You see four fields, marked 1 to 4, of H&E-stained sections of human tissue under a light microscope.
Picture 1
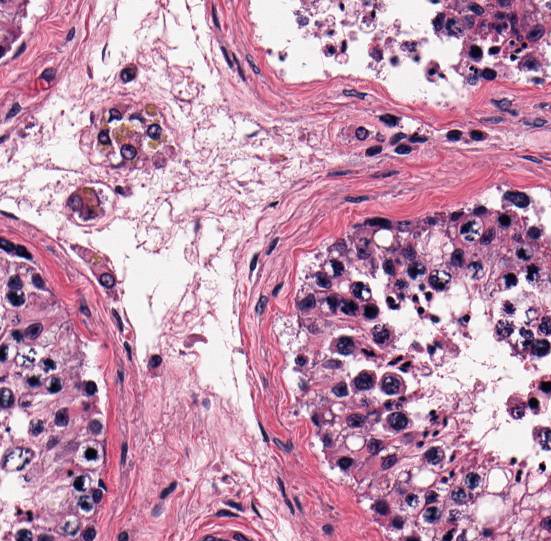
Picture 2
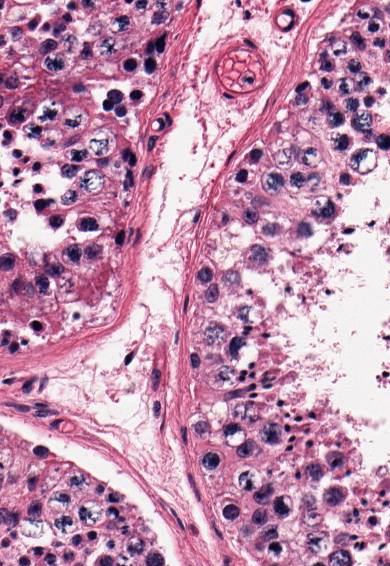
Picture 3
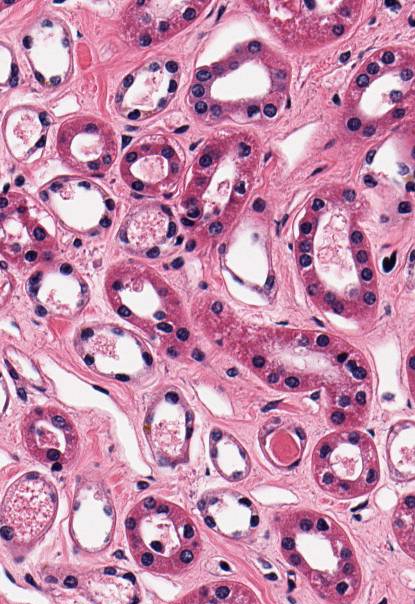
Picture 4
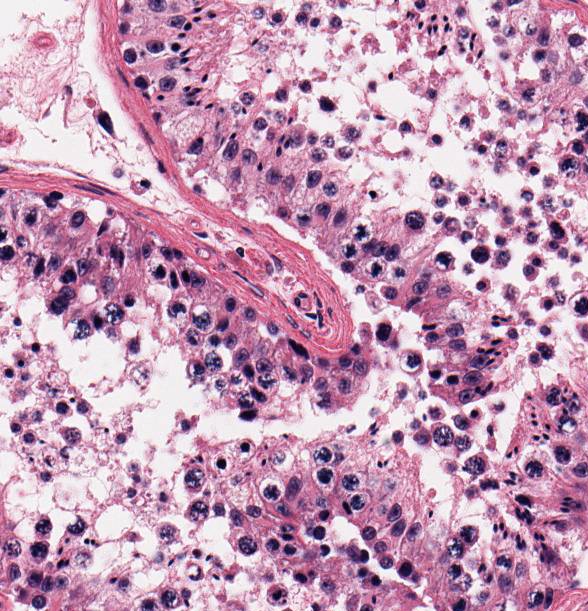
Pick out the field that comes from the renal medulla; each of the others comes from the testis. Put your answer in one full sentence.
Picture 3 comes from the renal medulla.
